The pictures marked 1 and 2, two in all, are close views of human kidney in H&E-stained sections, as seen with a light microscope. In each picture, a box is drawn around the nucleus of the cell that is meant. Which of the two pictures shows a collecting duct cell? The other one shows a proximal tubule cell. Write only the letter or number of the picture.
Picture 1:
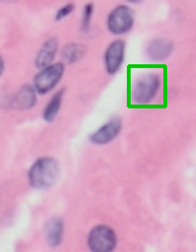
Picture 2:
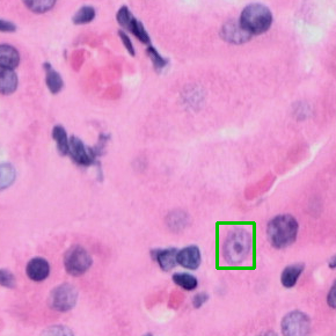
1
